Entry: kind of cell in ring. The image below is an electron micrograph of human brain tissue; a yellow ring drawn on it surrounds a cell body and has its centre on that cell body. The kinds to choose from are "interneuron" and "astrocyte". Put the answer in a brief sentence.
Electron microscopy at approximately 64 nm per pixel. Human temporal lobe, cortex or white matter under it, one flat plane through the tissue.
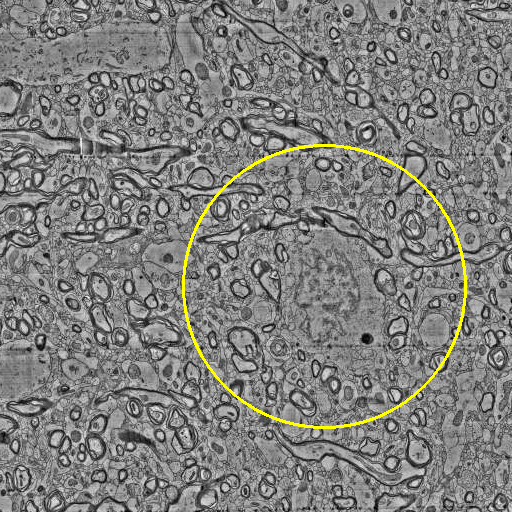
The ring has been drawn around an interneuron.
